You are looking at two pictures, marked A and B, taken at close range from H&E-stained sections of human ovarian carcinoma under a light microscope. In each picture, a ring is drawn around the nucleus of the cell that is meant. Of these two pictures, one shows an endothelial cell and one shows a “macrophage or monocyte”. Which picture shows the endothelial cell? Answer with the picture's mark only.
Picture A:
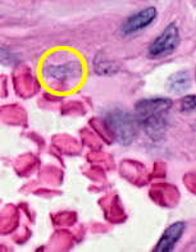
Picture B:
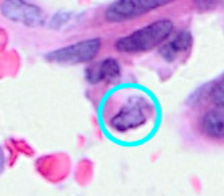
A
